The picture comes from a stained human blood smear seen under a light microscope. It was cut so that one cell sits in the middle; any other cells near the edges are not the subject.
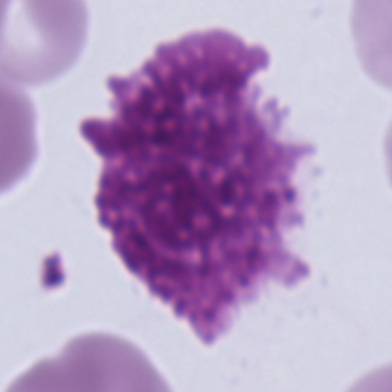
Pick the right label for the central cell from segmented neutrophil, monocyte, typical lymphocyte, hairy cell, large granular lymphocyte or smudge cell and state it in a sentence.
The cell in the middle of this crop is a smudge cell.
